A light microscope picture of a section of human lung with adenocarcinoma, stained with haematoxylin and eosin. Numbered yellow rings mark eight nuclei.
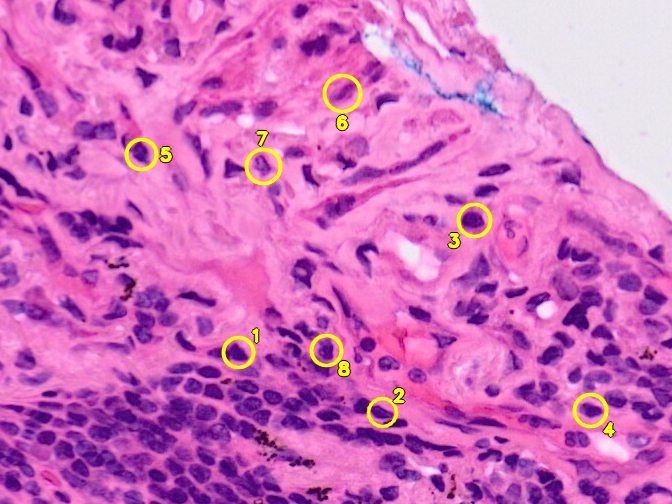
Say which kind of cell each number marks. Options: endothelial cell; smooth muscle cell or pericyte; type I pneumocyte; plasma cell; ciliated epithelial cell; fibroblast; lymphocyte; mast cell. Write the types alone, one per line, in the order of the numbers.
lymphocyte
lymphocyte
plasma cell
lymphocyte
lymphocyte
smooth muscle cell or pericyte
mast cell
lymphocyte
